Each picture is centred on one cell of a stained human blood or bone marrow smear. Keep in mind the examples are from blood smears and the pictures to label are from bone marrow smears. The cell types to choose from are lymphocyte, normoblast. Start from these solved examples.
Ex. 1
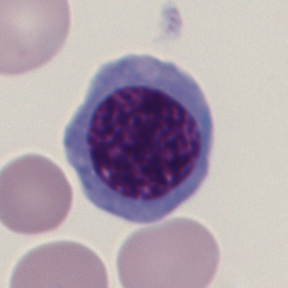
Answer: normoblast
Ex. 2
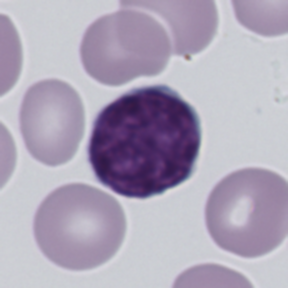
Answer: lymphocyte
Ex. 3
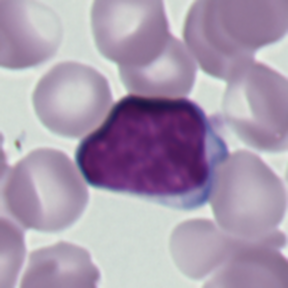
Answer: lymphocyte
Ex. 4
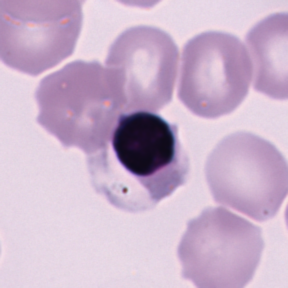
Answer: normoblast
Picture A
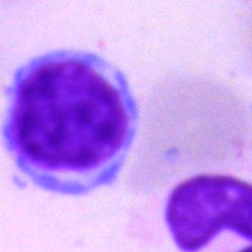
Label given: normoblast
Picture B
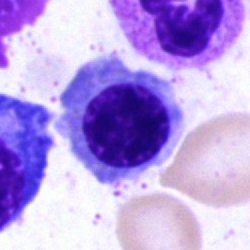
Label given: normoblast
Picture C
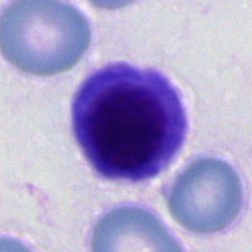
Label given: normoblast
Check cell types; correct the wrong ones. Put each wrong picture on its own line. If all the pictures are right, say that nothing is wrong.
A is labelled normoblast; correct label: lymphocyte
